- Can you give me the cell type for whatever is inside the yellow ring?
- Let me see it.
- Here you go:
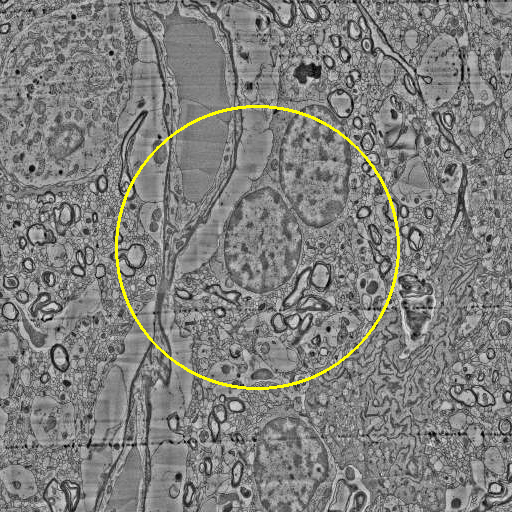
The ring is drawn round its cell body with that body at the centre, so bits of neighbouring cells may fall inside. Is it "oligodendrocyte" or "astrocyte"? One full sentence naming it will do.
The cell body in the middle of the ring in this picture belongs to an oligodendrocyte.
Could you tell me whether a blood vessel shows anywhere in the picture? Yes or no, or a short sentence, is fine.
Yes, the picture includes a blood vessel.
